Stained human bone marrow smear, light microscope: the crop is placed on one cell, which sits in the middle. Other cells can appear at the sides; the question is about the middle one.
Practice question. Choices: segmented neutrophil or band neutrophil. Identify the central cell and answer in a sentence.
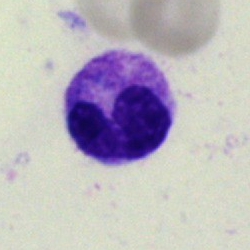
Classified as a segmented neutrophil is the cell in the middle of this crop.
